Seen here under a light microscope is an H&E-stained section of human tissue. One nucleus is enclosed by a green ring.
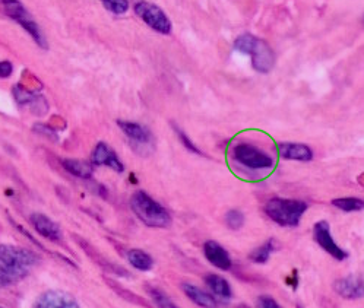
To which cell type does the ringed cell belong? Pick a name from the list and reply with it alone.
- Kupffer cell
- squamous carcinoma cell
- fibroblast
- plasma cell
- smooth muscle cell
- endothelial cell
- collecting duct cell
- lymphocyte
plasma cell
